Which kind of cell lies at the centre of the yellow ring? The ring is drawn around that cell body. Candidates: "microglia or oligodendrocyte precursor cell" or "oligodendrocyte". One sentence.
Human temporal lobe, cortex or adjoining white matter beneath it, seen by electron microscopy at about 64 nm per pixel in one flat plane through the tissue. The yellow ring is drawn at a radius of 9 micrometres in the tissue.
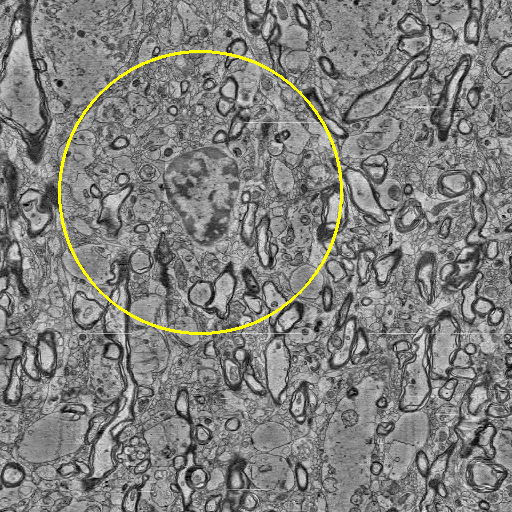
Lying at the centre of the ring is a microglial cell or oligodendrocyte precursor cell.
